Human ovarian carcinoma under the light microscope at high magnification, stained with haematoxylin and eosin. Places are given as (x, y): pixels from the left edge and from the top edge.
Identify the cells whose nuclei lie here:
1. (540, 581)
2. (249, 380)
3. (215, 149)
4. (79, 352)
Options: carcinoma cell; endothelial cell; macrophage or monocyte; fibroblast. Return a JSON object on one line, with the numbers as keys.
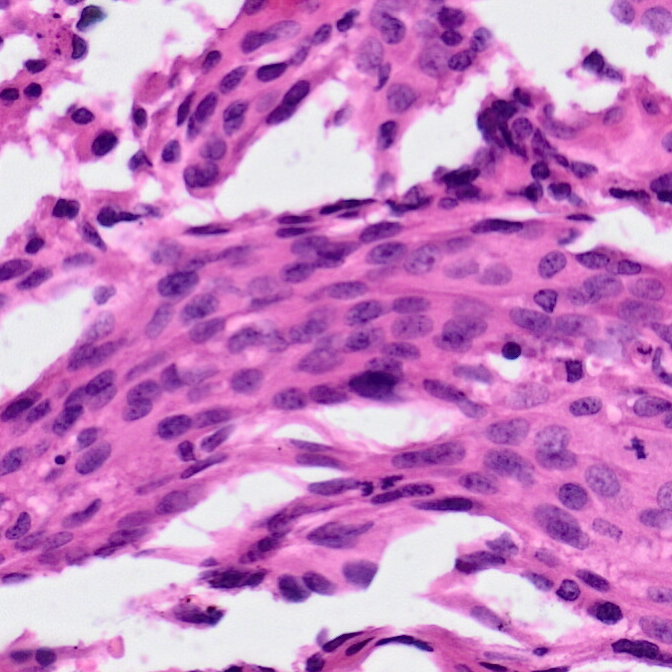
{"1": "macrophage or monocyte", "2": "carcinoma cell", "3": "carcinoma cell", "4": "carcinoma cell"}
